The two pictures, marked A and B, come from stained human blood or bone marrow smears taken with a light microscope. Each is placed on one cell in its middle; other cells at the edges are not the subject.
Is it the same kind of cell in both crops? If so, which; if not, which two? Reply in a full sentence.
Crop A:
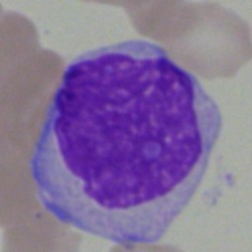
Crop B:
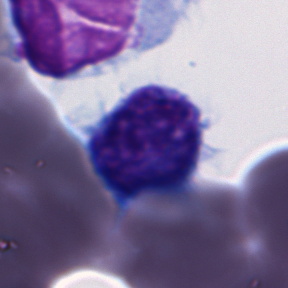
No, as for crop A, it shows a blast, and crop B shows a hairy cell.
